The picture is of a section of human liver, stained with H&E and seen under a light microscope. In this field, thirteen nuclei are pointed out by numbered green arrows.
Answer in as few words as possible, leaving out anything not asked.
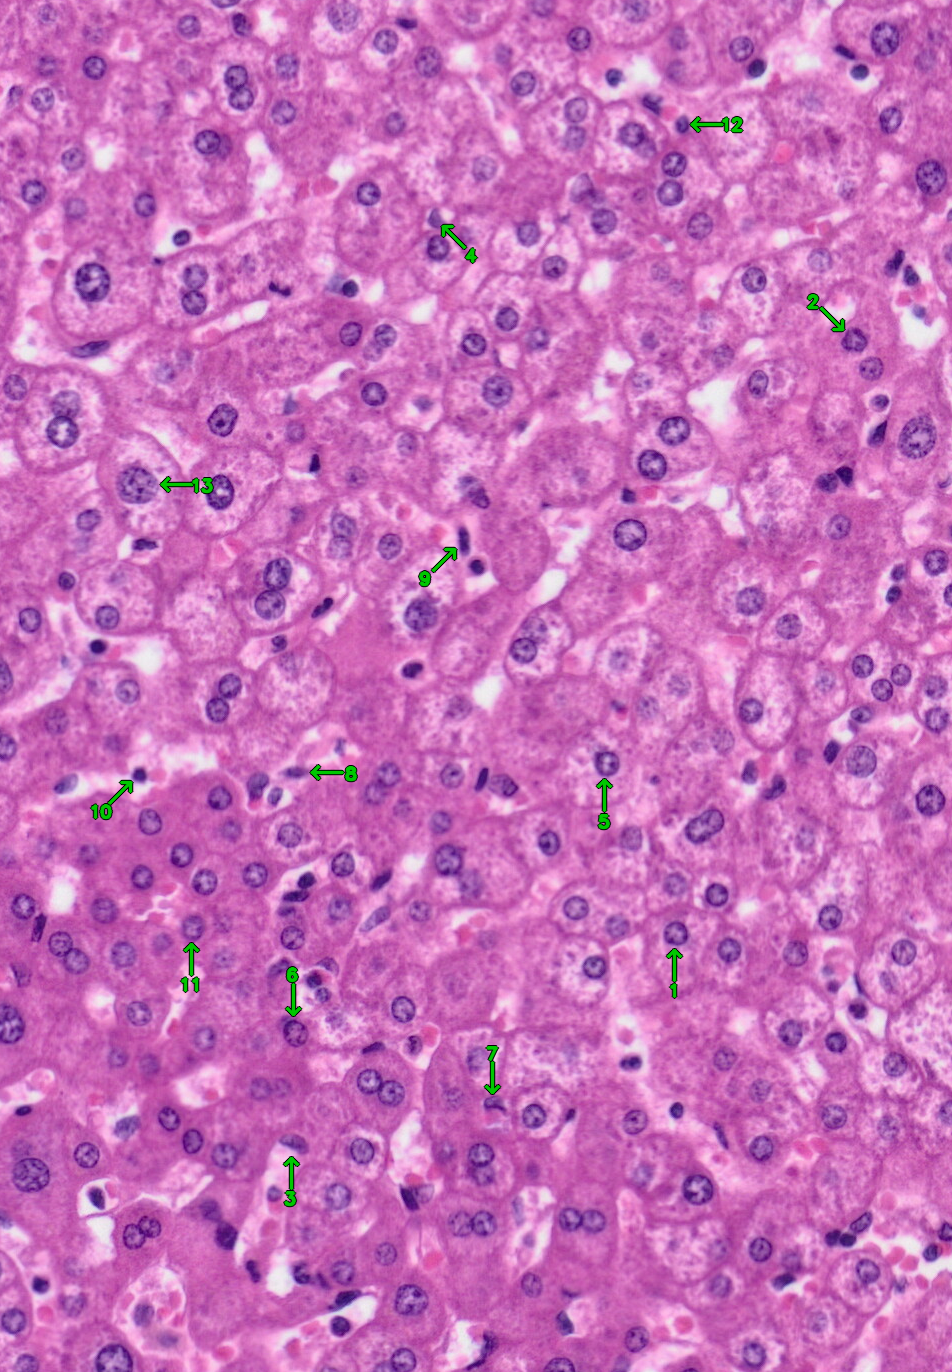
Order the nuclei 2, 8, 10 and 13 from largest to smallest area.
13, 2, 8, 10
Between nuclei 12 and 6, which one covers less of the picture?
12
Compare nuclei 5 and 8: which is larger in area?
5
